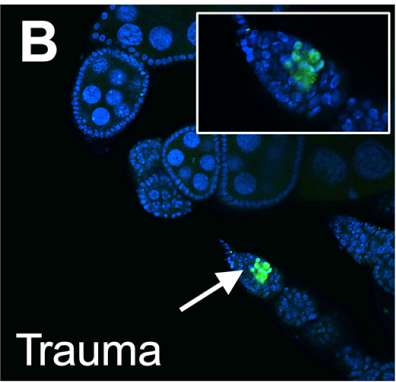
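These are ovarian egg chambers with nuclei stained blue. Rounded chambers of different sizes each show several large nuclei surrounded by a border of small, closely packed nuclei. Toward the bottom, an arrow points to the slender tip of a chain of chambers, the germarium, where a small cluster of bright green spots sits among tightly packed small nuclei. The boxed enlargement at the top shows this tip more closely, with the green spots grouped inside it.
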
